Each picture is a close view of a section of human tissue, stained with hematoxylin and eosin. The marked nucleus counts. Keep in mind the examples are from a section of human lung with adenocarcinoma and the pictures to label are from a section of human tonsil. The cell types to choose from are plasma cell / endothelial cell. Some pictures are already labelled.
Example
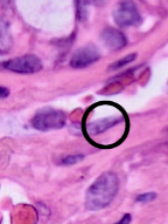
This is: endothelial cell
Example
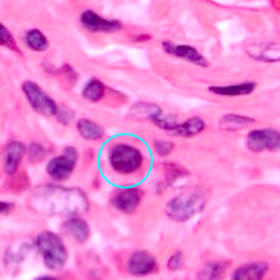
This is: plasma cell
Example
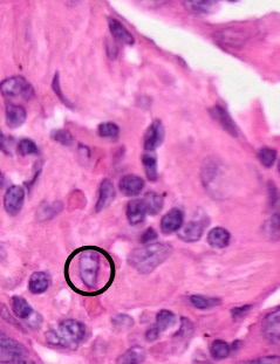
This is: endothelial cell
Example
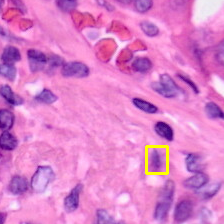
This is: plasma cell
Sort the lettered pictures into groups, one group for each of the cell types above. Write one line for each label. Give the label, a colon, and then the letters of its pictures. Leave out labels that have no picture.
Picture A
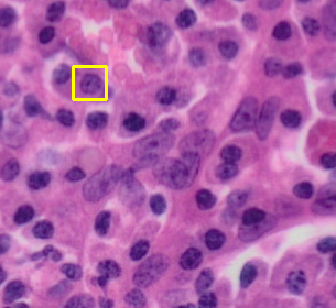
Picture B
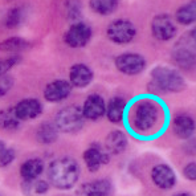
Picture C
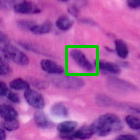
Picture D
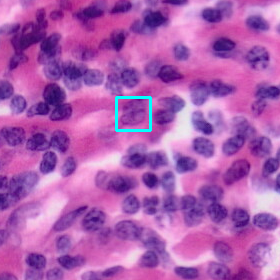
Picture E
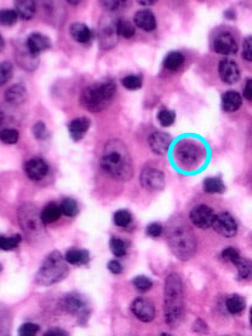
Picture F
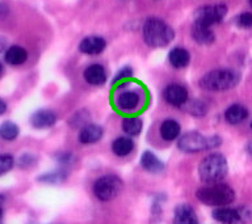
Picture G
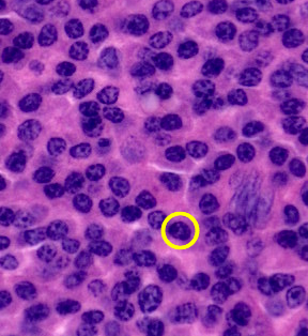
plasma cell: A, B, E, F, G
endothelial cell: C, D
